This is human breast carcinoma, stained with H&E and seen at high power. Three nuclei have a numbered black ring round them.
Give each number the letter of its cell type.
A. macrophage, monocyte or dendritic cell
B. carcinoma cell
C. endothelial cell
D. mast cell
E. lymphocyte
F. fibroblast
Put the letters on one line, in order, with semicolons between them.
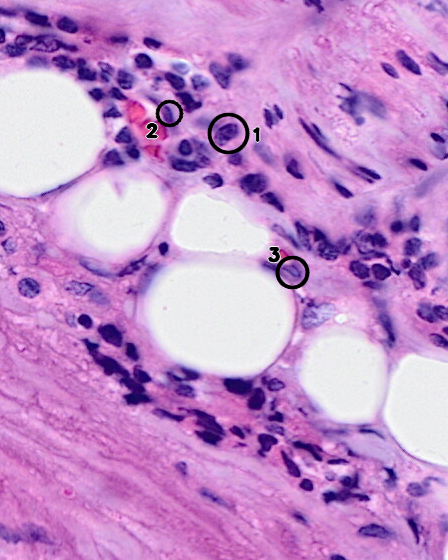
E; C; C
